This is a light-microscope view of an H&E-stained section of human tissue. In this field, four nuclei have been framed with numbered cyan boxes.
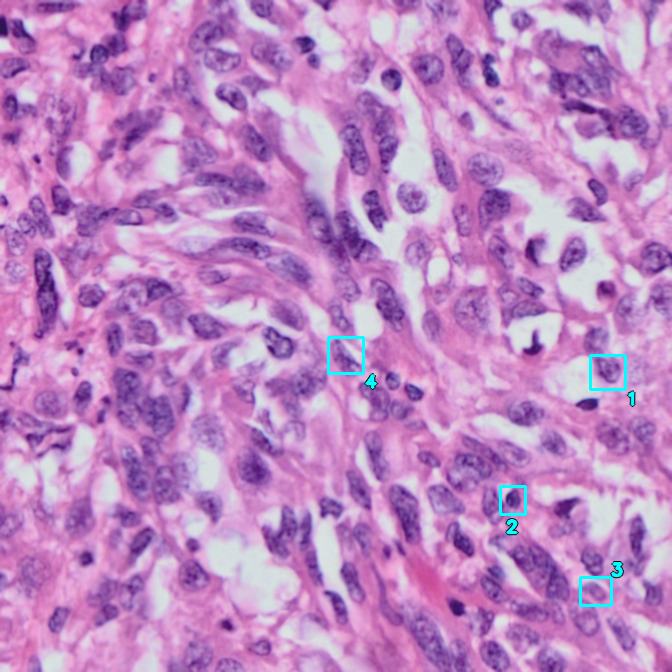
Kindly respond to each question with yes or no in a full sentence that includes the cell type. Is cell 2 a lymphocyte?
Yes, the cell that number 2 points to is a lymphocyte.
